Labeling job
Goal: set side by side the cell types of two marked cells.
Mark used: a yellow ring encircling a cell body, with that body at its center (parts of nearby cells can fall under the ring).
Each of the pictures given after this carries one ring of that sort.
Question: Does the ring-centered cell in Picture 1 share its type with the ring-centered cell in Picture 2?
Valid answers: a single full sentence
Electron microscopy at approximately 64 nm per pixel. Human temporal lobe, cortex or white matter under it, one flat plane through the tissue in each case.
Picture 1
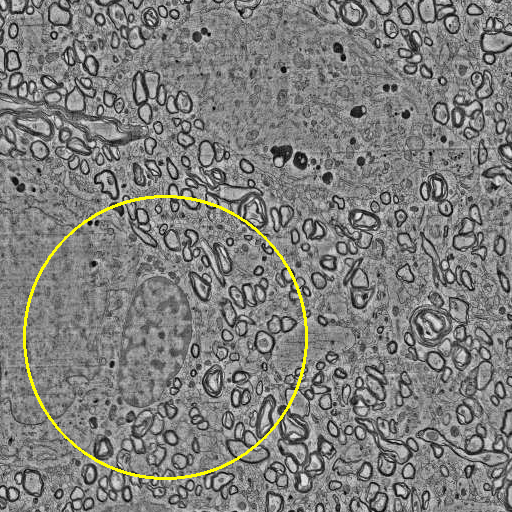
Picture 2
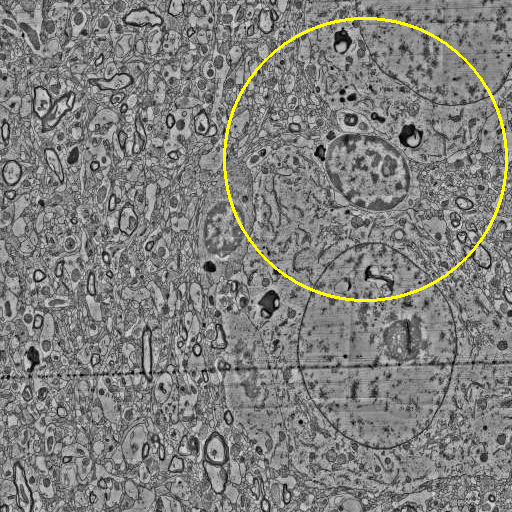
Yes, in Pictures 1 and 2 the cells at the ring centers share one type.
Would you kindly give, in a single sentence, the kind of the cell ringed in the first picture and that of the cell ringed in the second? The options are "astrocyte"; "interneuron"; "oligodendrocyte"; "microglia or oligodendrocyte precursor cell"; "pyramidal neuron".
The first and the second cell are each a microglial cell or oligodendrocyte precursor cell.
